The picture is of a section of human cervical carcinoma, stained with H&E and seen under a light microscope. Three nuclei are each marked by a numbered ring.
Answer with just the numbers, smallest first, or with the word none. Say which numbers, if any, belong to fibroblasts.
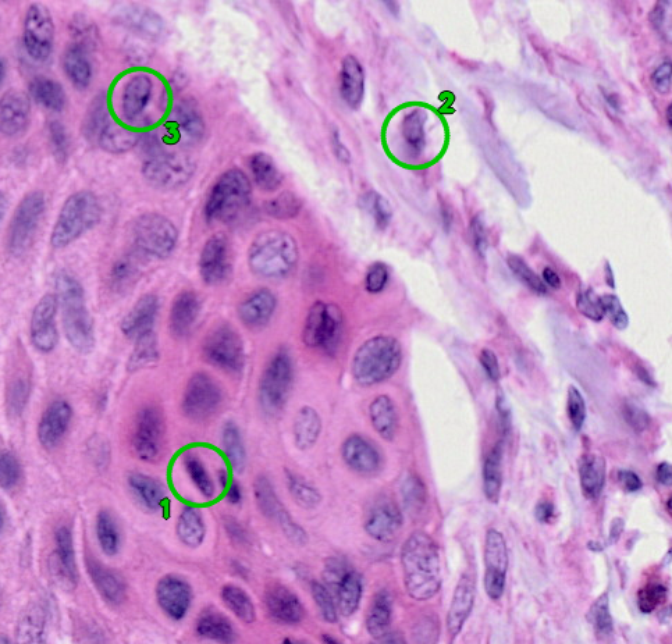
2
